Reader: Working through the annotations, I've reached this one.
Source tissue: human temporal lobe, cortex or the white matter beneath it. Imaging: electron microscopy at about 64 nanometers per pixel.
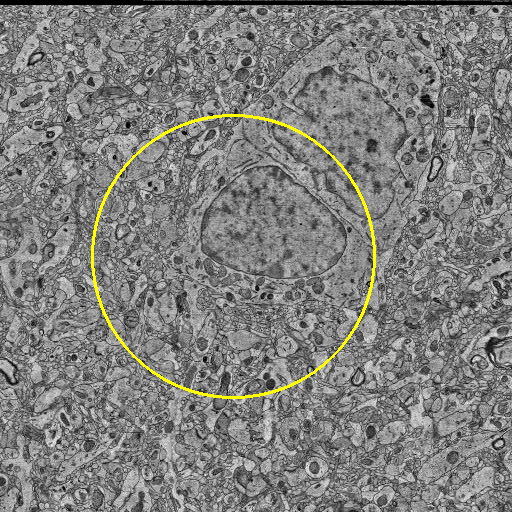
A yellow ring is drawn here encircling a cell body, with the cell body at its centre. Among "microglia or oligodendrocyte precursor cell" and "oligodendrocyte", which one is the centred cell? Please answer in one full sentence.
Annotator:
The cell body at the centre of the yellow ring in this image belongs to a microglial cell or oligodendrocyte precursor cell.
